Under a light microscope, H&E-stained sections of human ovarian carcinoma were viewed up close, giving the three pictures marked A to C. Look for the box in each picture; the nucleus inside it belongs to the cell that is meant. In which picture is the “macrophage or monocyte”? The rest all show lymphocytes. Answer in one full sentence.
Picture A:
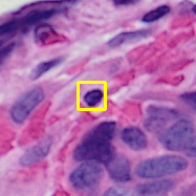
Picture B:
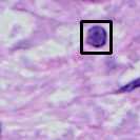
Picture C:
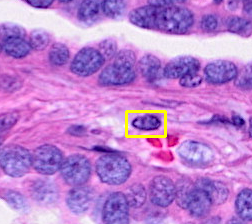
It is picture C that shows the “macrophage or monocyte”.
